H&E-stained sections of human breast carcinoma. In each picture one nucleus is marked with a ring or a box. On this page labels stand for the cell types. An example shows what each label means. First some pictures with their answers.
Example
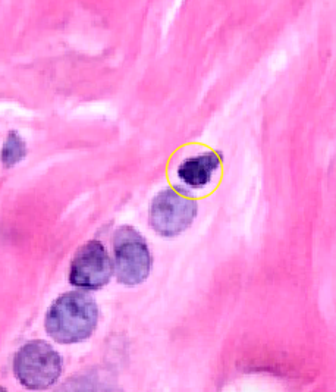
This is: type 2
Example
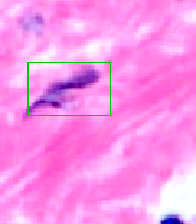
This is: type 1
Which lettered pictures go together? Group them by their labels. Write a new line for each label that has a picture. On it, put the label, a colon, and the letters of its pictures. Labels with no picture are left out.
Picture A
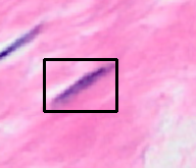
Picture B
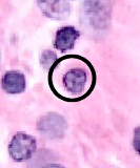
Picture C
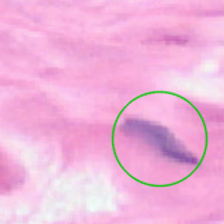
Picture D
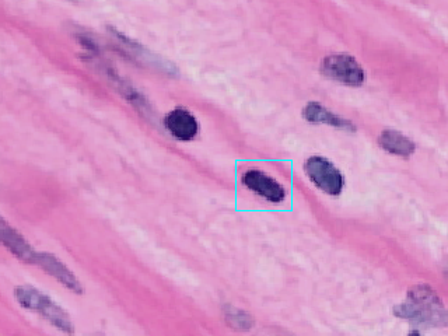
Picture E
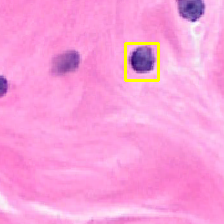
type 2: B, D, E
type 1: A, C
